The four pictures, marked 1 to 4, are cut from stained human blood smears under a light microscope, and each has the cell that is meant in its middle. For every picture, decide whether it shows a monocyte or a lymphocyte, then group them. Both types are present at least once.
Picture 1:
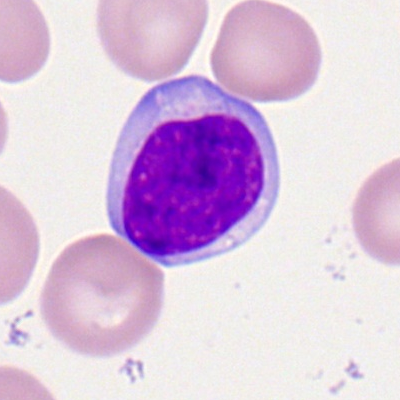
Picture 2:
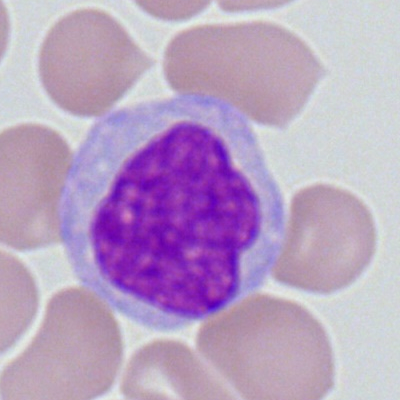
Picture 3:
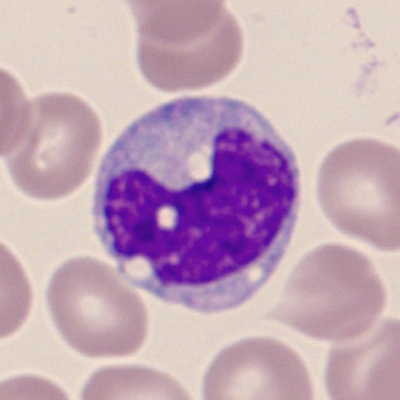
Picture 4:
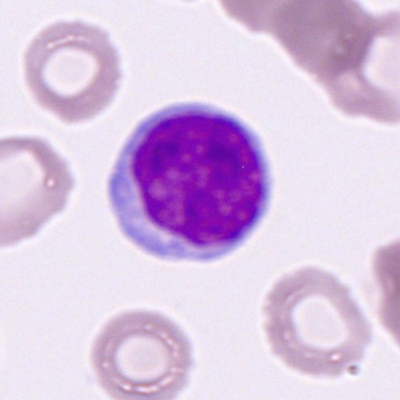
1: lymphocyte
2: monocyte
3: monocyte
4: lymphocyte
